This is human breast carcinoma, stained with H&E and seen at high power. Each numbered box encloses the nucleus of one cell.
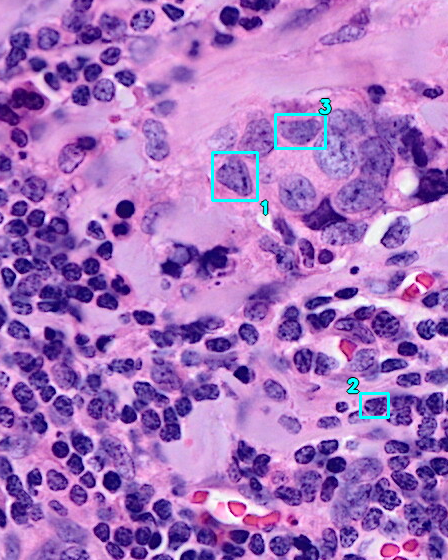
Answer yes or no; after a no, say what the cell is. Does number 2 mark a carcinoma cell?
No, it is a lymphocyte.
